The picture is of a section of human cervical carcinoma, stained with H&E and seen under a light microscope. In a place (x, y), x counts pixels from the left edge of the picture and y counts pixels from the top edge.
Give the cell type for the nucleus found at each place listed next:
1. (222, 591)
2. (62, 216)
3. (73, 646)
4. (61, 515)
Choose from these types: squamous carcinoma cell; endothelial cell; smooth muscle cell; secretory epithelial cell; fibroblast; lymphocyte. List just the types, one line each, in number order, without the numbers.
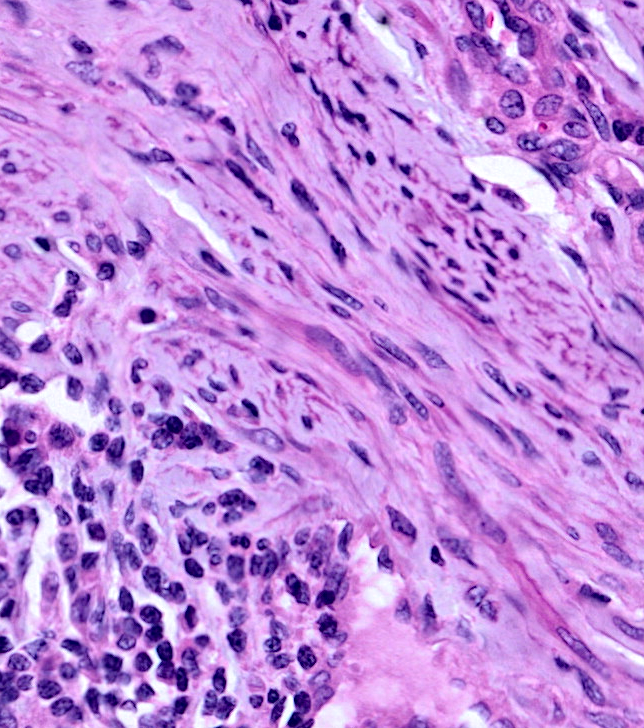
lymphocyte
smooth muscle cell
lymphocyte
lymphocyte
